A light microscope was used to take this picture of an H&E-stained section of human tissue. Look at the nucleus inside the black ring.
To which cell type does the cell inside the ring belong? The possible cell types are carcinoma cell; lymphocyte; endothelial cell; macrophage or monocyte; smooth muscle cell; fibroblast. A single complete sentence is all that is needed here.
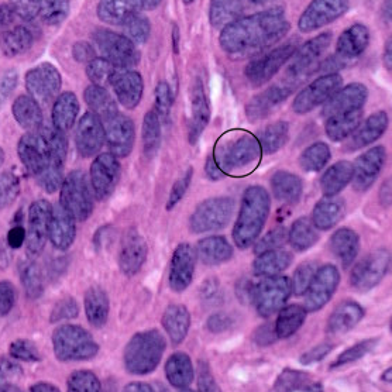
In cellular terms, the cell inside the ring is a carcinoma cell.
